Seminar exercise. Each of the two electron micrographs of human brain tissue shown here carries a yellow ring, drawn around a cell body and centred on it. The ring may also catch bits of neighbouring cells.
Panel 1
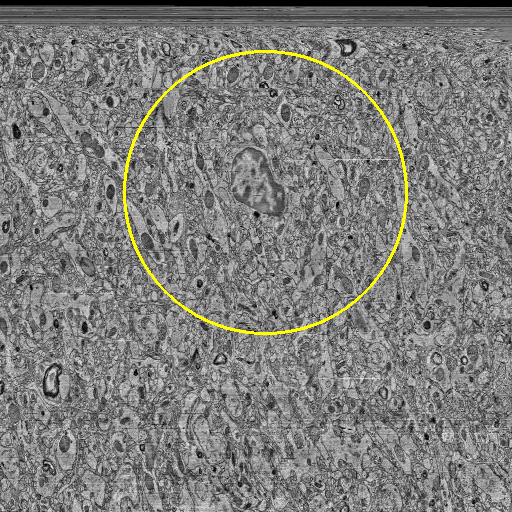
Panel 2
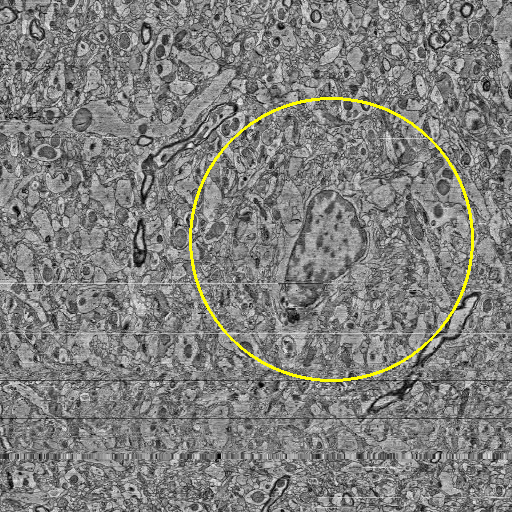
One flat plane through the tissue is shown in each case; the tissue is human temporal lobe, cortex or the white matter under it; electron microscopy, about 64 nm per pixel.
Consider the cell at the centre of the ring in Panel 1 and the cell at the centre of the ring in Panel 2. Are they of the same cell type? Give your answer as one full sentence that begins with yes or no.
Yes, both cells are of the same type.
